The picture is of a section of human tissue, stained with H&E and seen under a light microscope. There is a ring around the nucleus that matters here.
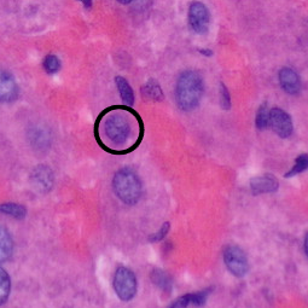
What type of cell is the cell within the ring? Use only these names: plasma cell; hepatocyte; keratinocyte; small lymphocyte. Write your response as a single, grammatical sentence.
In this preparation, the cell within the ring is a hepatocyte.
